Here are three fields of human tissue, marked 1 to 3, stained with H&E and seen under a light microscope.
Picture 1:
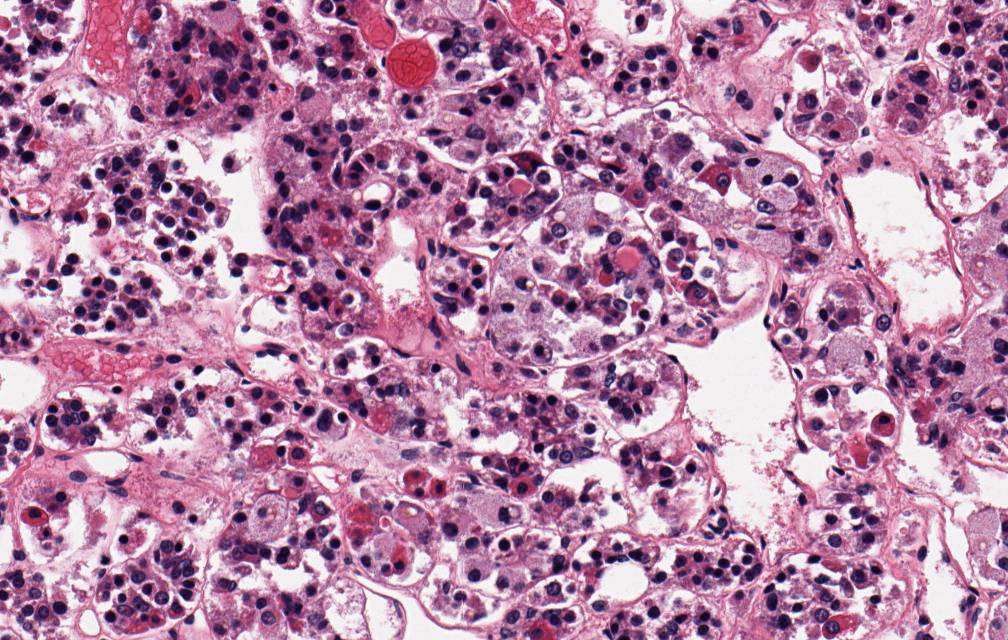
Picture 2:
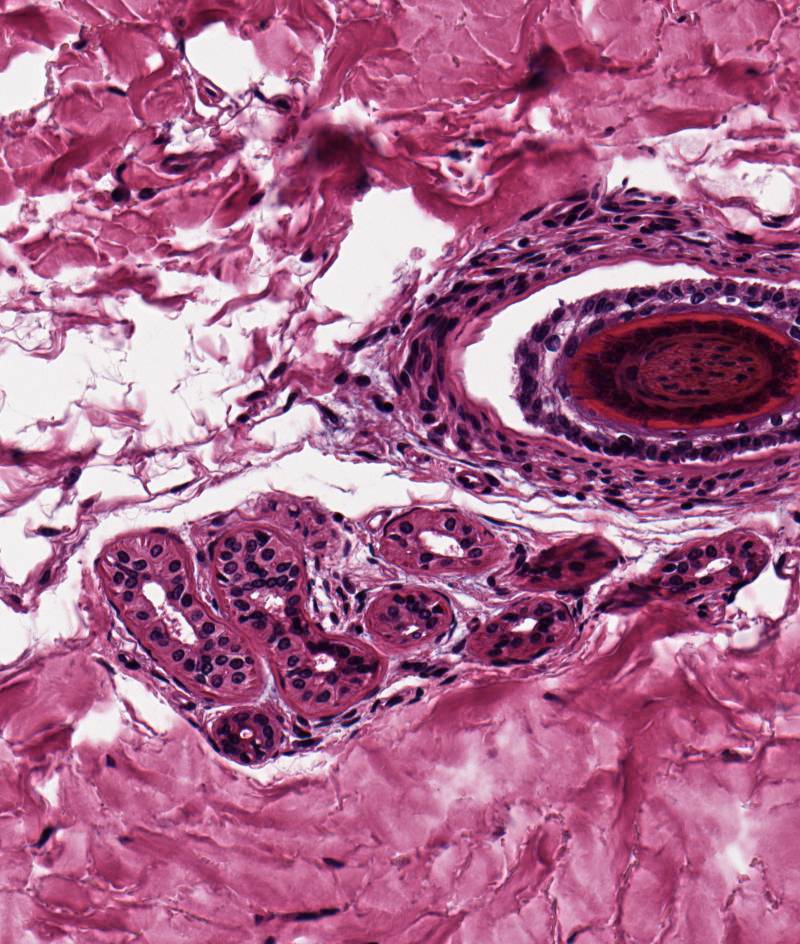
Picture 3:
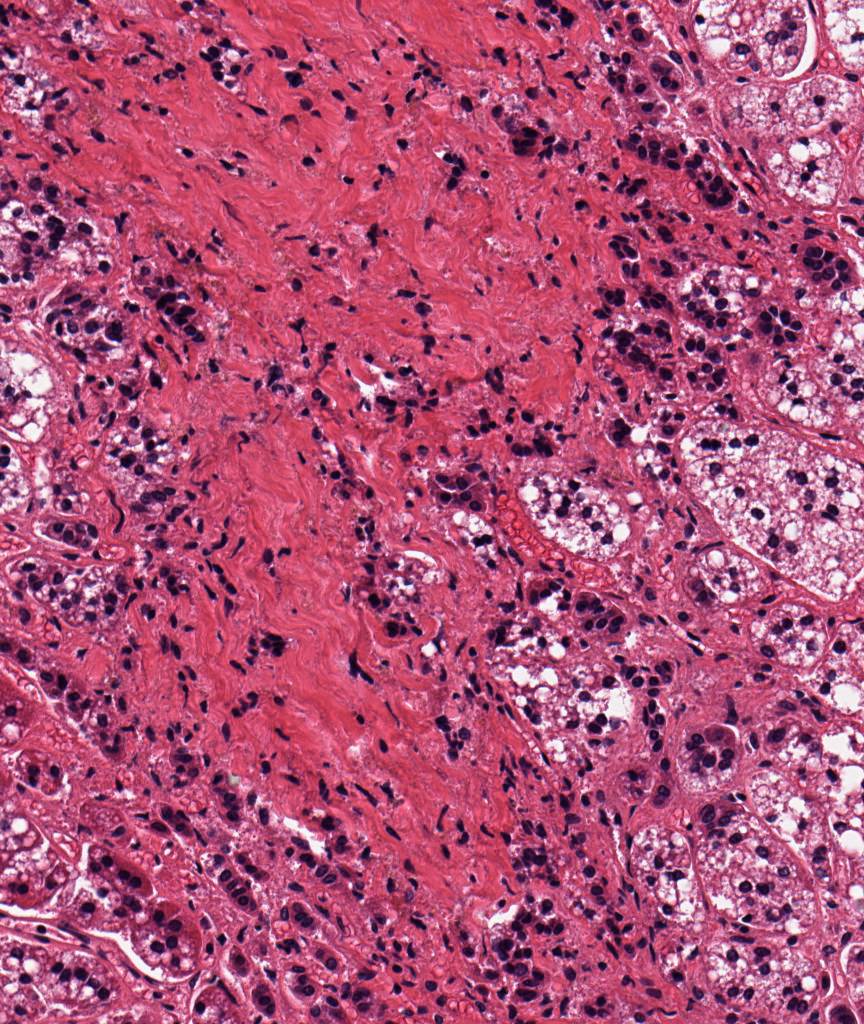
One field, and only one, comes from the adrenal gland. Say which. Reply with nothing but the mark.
3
